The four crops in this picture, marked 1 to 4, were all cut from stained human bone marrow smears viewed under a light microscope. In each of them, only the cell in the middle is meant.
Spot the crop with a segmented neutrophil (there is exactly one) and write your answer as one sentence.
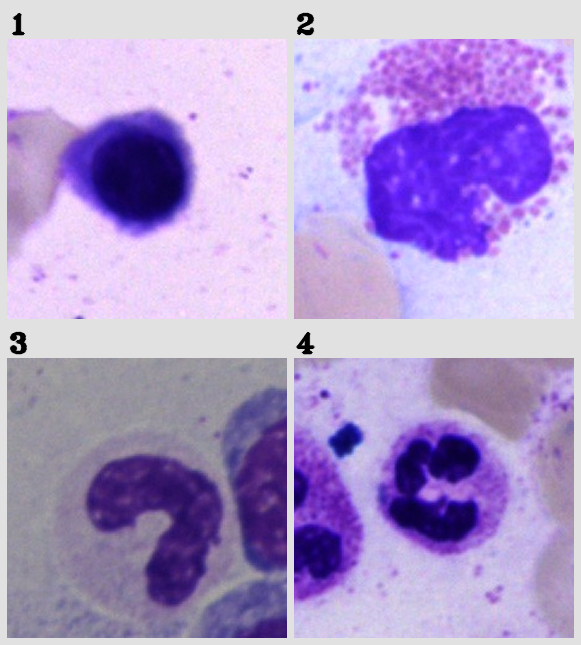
On review of the set, crop 4 is the one showing a segmented neutrophil.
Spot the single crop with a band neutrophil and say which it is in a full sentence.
The crop bearing a band neutrophil is crop 3.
